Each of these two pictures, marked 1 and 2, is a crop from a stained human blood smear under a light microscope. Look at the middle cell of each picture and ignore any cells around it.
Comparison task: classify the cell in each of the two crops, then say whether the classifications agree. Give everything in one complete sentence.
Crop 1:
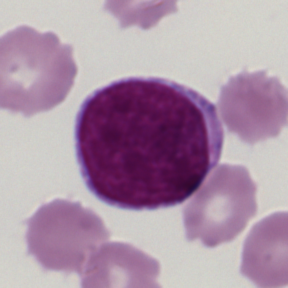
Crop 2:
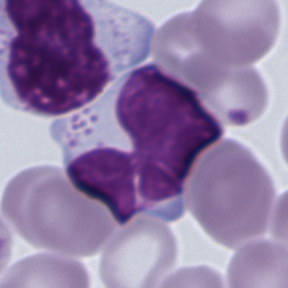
No, whereas crop 1 shows a myeloblast, crop 2 shows a large granular lymphocyte.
